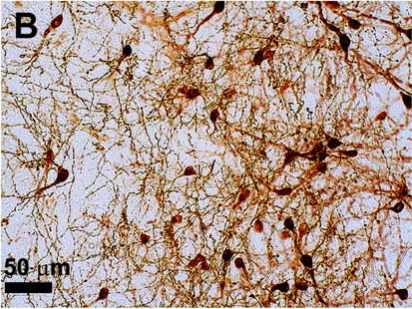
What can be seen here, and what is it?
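From many of them one or more processes taper away. Between the cells a dense meshwork of thin brown fibres criss-crosses a pale background.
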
